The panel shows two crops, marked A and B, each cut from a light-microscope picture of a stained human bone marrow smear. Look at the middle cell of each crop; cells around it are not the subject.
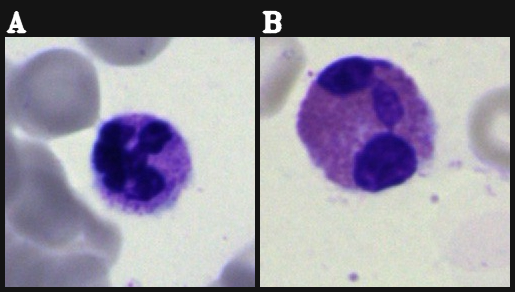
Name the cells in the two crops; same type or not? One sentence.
No, crop A captures a segmented neutrophil, and crop B captures an eosinophil.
